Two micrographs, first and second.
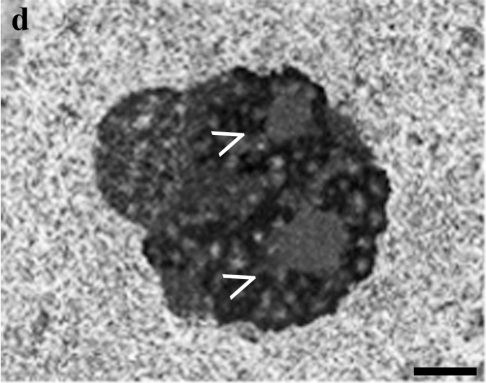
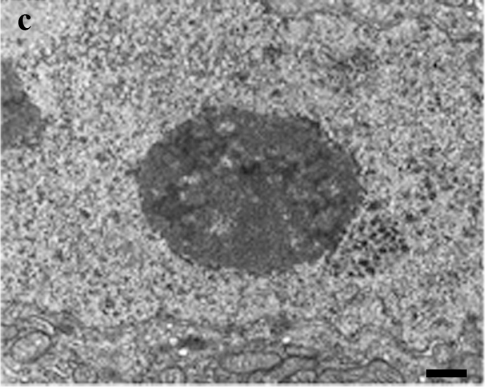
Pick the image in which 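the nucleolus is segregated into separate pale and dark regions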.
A: The first image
